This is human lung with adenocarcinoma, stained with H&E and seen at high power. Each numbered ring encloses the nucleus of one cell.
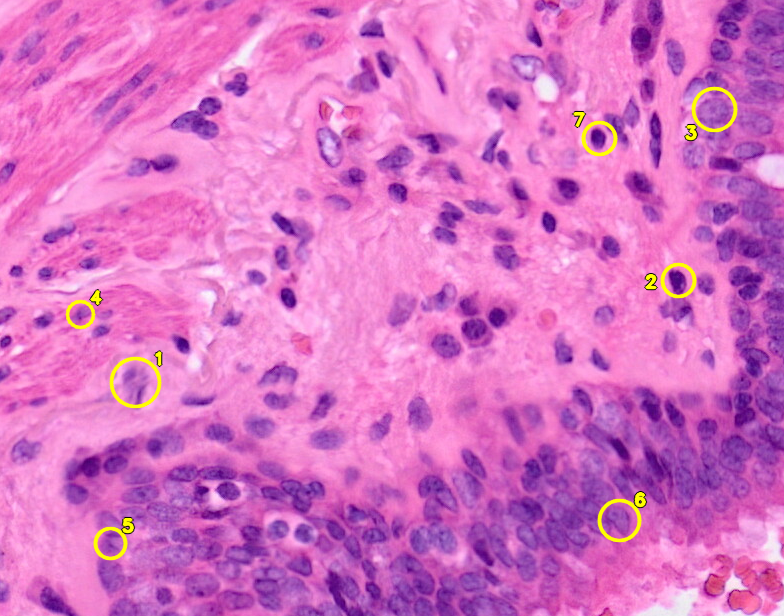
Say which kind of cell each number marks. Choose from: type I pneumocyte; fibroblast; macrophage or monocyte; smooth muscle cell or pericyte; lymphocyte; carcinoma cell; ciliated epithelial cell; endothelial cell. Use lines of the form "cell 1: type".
cell 1: fibroblast
cell 2: lymphocyte
cell 3: ciliated epithelial cell
cell 4: smooth muscle cell or pericyte
cell 5: ciliated epithelial cell
cell 6: ciliated epithelial cell
cell 7: lymphocyte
